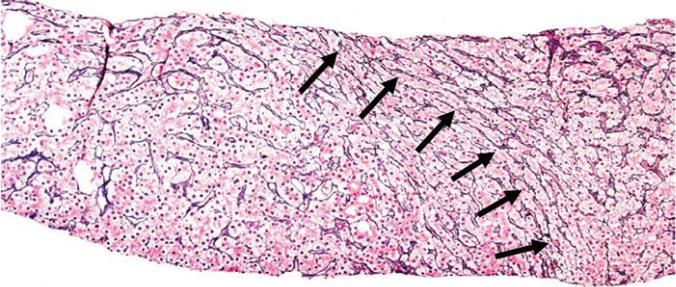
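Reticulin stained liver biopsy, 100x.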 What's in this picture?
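In much of the field the black lines outline plates of ordinary width. Along a diagonal band the fibres run closely packed and roughly parallel, so that the plates between them are thin and compressed. This narrowing of plates next to regions of wider plates gives the tissue an uneven, nodular pattern. A few round clear spaces are scattered at the left.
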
